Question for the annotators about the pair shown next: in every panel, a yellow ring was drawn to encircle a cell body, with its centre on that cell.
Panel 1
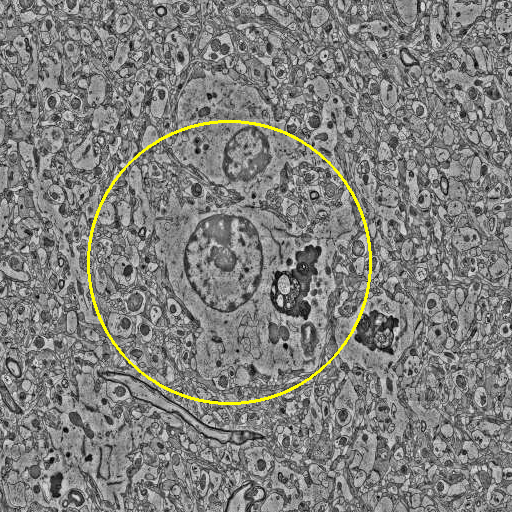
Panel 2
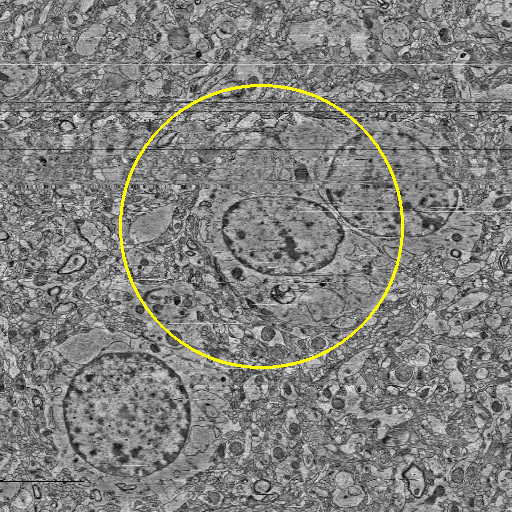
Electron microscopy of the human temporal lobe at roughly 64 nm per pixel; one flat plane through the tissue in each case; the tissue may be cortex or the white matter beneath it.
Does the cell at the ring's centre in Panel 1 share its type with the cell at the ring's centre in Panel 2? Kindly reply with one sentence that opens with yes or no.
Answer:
Yes, in Panels 1 and 2 the cells at the ring centres belong to a single type.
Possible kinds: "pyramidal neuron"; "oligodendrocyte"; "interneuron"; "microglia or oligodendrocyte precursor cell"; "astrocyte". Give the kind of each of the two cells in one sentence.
Each cell, in the first picture and the second, is an astrocyte.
